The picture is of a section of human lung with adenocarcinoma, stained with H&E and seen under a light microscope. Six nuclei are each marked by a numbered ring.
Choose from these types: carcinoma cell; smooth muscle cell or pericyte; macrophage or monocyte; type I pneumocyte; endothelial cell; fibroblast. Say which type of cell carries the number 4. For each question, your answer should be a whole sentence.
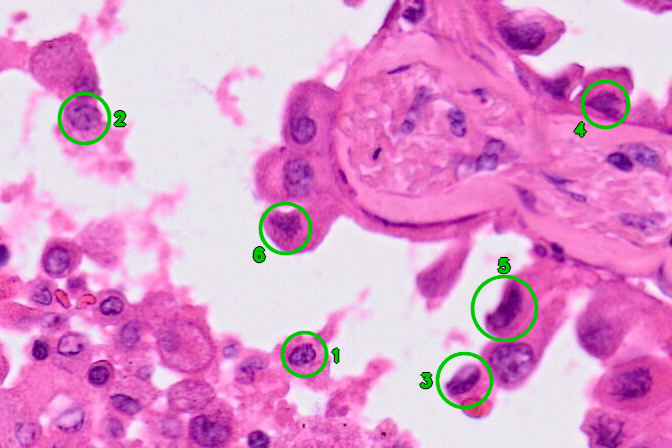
In the tissue shown, cell 4 is a carcinoma cell.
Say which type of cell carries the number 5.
The nucleus marked 5 is the nucleus of a carcinoma cell.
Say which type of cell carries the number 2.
The cell pointed out as number 2 is a macrophage or monocyte.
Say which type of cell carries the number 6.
As for number 6, that cell is a carcinoma cell.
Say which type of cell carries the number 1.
The label 1 in this section denotes a macrophage or monocyte.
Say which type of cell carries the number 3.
The cell with the number 3 is a carcinoma cell.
